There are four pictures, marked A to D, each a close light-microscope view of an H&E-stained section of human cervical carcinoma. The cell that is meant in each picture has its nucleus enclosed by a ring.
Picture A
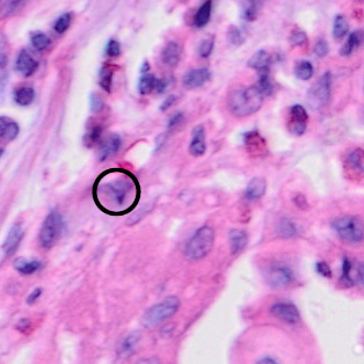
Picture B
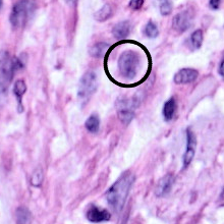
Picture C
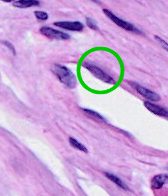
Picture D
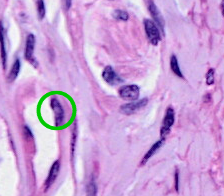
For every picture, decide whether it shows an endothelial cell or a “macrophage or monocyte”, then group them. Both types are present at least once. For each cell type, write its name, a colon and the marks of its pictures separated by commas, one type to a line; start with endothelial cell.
endothelial cell: A, C, D
macrophage or monocyte: B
